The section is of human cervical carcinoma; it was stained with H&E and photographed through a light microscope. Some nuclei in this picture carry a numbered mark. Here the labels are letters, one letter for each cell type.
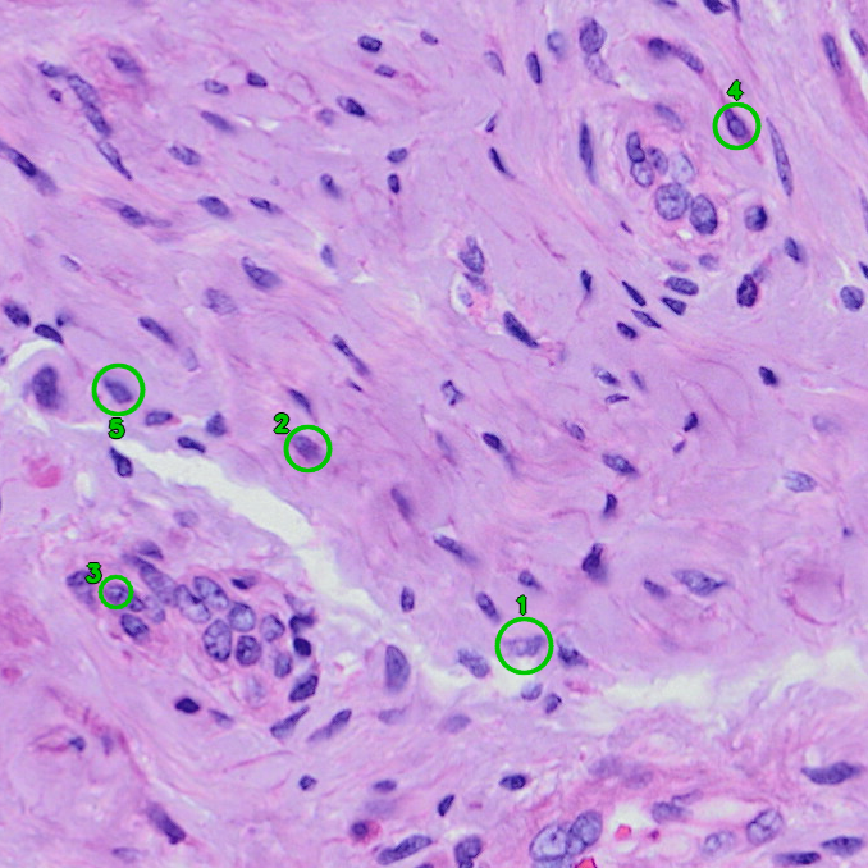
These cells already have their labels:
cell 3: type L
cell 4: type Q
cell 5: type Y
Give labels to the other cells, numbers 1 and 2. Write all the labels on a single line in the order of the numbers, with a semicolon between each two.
type Y; type Q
